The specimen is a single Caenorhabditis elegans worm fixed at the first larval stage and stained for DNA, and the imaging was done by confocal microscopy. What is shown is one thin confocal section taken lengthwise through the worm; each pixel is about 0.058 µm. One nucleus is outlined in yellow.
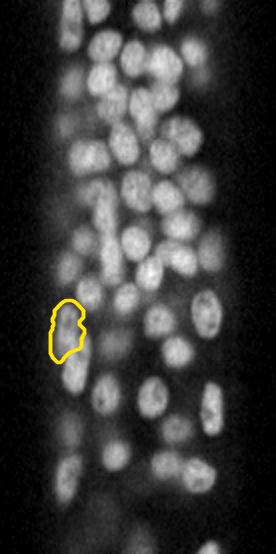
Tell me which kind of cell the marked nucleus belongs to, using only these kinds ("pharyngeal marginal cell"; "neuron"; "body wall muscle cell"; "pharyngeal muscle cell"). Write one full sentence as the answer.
The marked nucleus belongs to a body wall muscle cell.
